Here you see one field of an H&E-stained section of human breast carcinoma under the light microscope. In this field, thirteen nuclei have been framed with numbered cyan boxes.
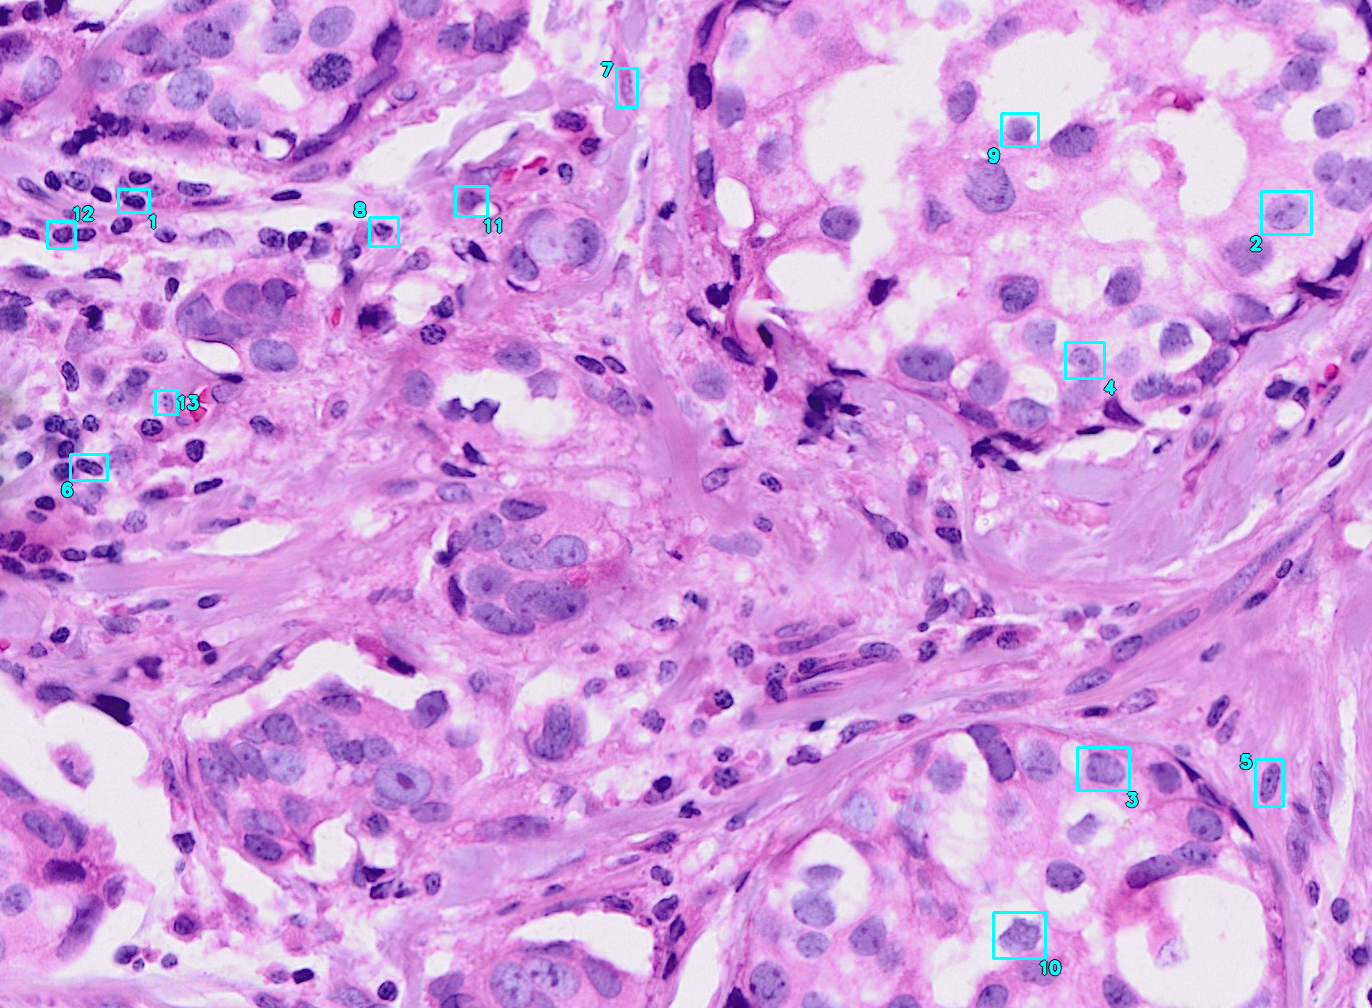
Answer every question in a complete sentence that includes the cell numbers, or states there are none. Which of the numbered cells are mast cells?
Only number 5 of the marked cells is a mast cell.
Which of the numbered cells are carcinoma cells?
The cells 2, 3, 4, 9 and 10 in this section are carcinoma cells.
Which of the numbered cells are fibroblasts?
In short, cell 7 is a fibroblast; the others are not.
